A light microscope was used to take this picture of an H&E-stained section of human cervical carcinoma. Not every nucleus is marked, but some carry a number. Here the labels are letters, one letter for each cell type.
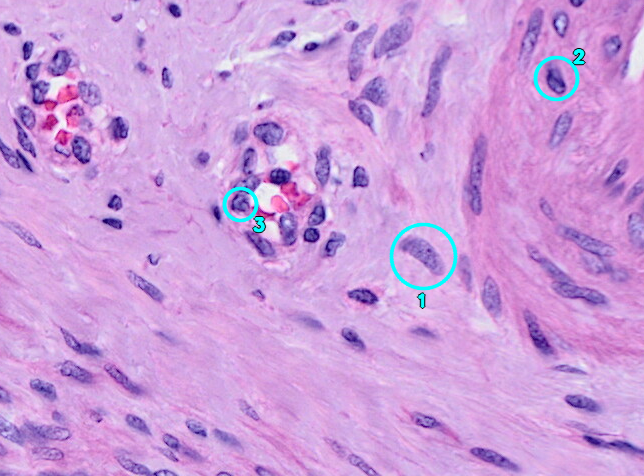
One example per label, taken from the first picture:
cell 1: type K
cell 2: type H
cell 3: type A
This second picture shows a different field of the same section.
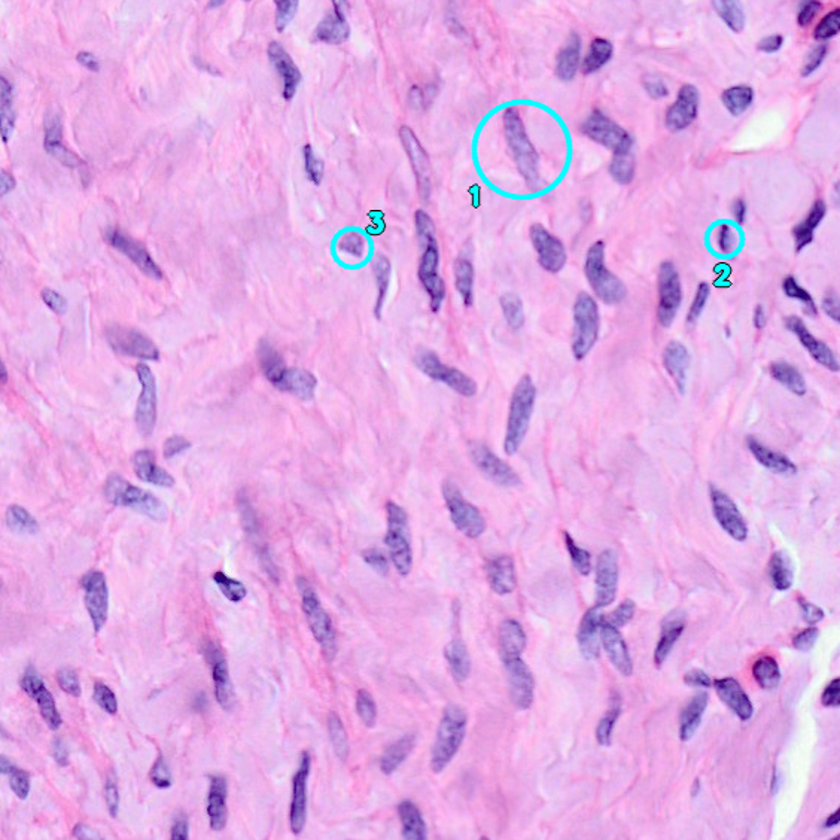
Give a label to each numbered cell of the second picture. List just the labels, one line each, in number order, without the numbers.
type H
type K
type K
